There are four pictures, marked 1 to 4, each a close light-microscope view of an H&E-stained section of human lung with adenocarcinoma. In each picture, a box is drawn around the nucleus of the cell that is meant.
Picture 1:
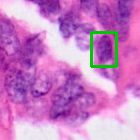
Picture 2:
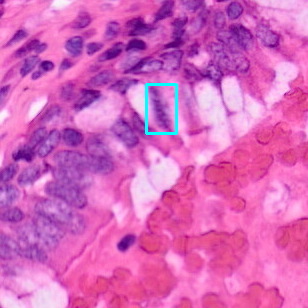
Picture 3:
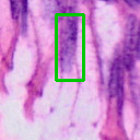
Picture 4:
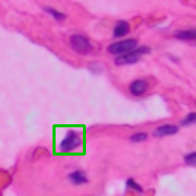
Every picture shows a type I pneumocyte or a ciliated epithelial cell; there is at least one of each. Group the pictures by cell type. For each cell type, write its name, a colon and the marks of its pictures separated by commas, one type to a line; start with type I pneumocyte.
type I pneumocyte: 4
ciliated epithelial cell: 1, 2, 3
